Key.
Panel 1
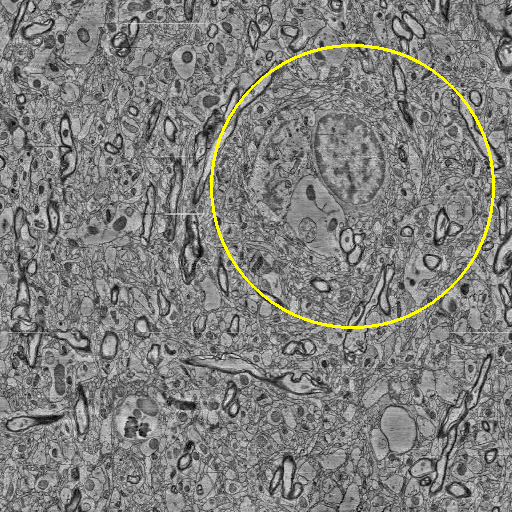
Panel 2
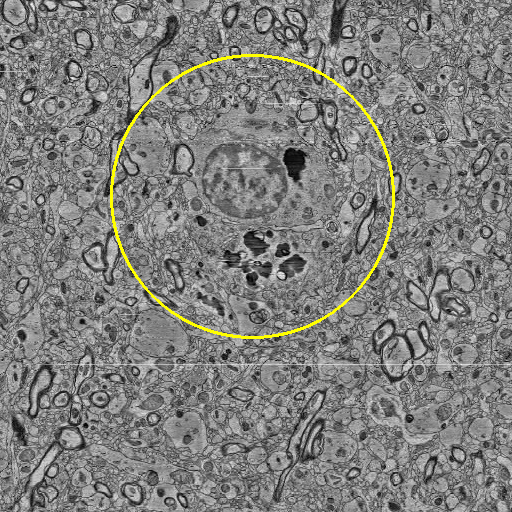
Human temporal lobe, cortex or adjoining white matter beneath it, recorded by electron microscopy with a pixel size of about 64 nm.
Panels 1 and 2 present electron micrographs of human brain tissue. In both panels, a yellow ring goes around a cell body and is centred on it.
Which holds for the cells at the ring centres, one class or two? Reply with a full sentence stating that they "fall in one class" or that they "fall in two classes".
Taken together, the ring-centre cells of the two panels fall in one class.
